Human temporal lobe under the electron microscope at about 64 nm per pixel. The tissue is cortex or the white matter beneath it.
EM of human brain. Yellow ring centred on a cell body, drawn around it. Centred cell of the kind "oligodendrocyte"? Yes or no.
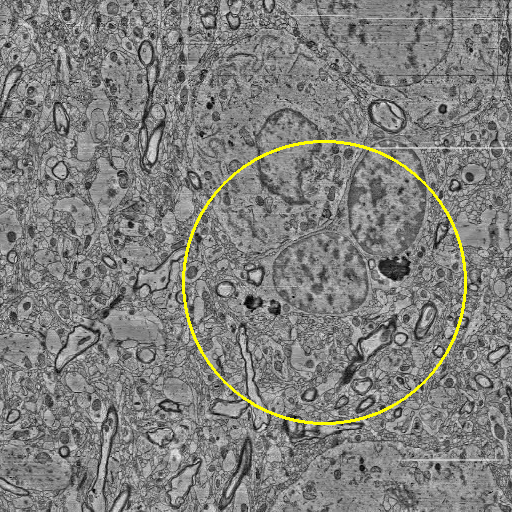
yes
